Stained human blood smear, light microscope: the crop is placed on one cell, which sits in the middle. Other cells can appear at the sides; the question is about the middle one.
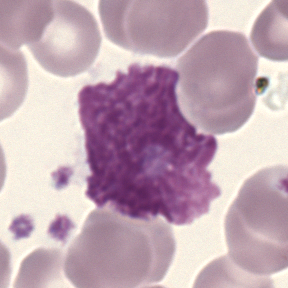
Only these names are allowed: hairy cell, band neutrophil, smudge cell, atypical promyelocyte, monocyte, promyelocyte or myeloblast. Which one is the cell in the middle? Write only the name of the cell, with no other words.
smudge cell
